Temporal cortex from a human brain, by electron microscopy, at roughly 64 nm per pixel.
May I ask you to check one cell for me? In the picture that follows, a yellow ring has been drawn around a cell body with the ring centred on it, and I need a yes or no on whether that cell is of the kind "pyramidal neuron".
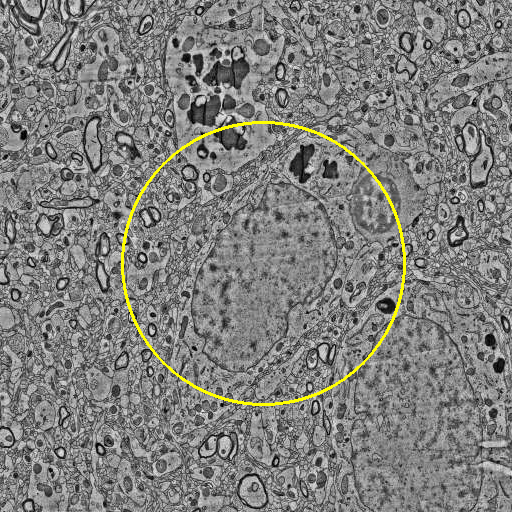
No, it is some other kind of cell.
